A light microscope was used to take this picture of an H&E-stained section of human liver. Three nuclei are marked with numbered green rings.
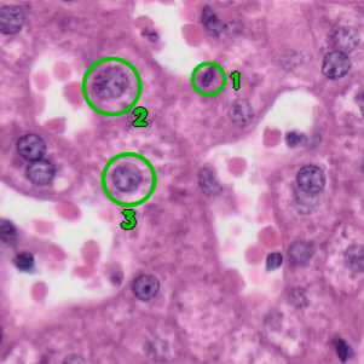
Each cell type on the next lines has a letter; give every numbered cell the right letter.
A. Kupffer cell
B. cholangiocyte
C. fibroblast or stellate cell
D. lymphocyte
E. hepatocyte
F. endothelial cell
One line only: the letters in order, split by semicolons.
C; E; E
